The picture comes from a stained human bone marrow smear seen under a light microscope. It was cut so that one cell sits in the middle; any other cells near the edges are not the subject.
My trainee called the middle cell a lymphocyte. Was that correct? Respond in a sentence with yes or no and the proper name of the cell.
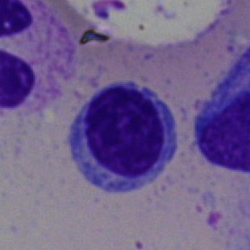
Yes, the middle of the crop is occupied by a lymphocyte.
